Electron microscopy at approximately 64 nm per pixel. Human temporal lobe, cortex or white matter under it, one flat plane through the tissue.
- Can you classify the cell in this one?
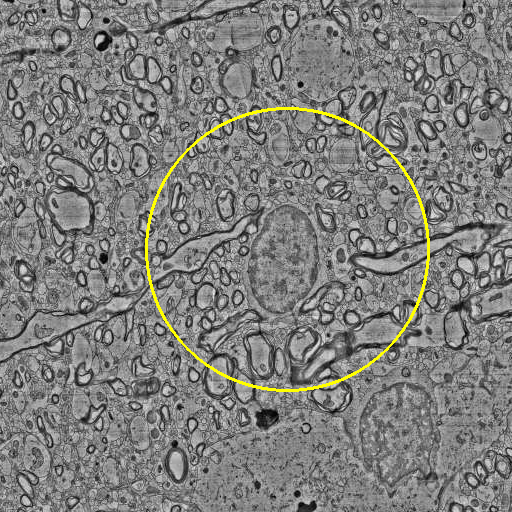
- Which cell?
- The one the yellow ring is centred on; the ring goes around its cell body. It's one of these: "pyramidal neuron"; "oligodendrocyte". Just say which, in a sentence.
The cell body in the ring belongs to an oligodendrocyte.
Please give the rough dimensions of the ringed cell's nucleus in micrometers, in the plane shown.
Roughly 7 by 4 micrometers, clearly longer than it is wide in this plane.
